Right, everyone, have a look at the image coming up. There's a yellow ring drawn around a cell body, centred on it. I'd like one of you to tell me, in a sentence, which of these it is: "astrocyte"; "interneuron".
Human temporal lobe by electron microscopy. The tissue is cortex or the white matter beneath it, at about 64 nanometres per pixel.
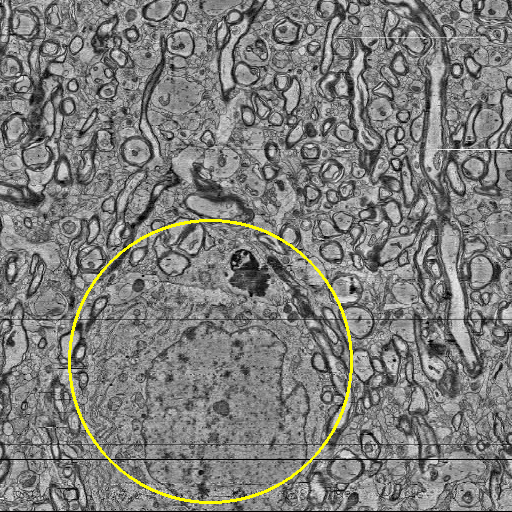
The yellow ring sits on an interneuron.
